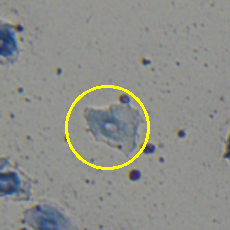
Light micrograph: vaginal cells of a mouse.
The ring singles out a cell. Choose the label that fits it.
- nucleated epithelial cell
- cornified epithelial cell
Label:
nucleated epithelial cell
